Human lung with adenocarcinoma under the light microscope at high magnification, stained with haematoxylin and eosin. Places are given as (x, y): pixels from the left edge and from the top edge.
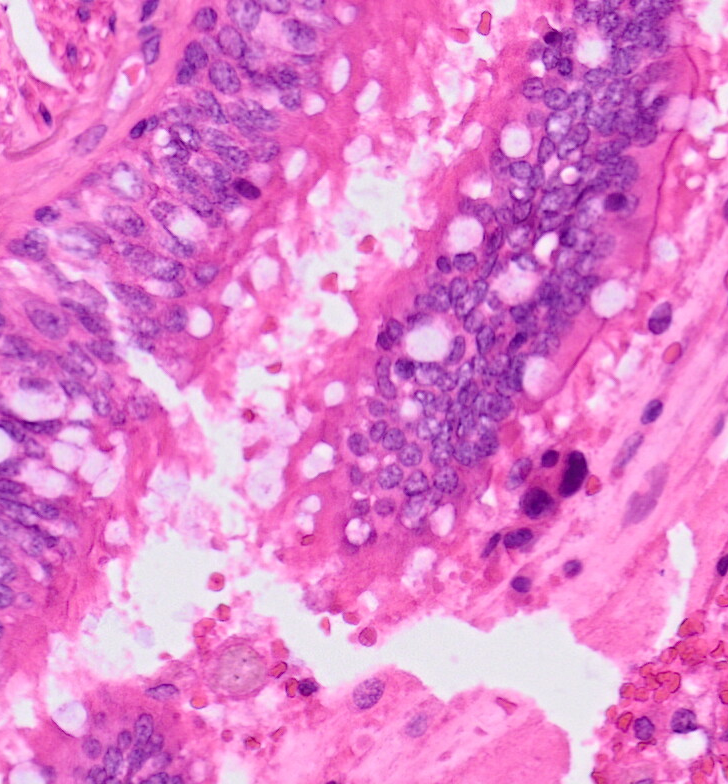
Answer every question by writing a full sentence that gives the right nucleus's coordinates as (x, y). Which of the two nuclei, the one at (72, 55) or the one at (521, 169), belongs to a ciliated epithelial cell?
The one nucleus of the two that belongs to a ciliated epithelial cell is at (521, 169).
